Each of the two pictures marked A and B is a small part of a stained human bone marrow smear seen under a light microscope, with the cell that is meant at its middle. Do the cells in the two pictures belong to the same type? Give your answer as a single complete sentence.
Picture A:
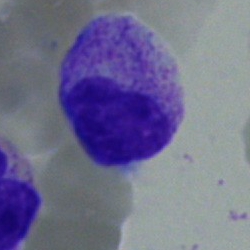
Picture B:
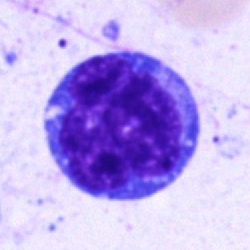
No, the types are not the same, since picture A shows a myelocyte and picture B a blast.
